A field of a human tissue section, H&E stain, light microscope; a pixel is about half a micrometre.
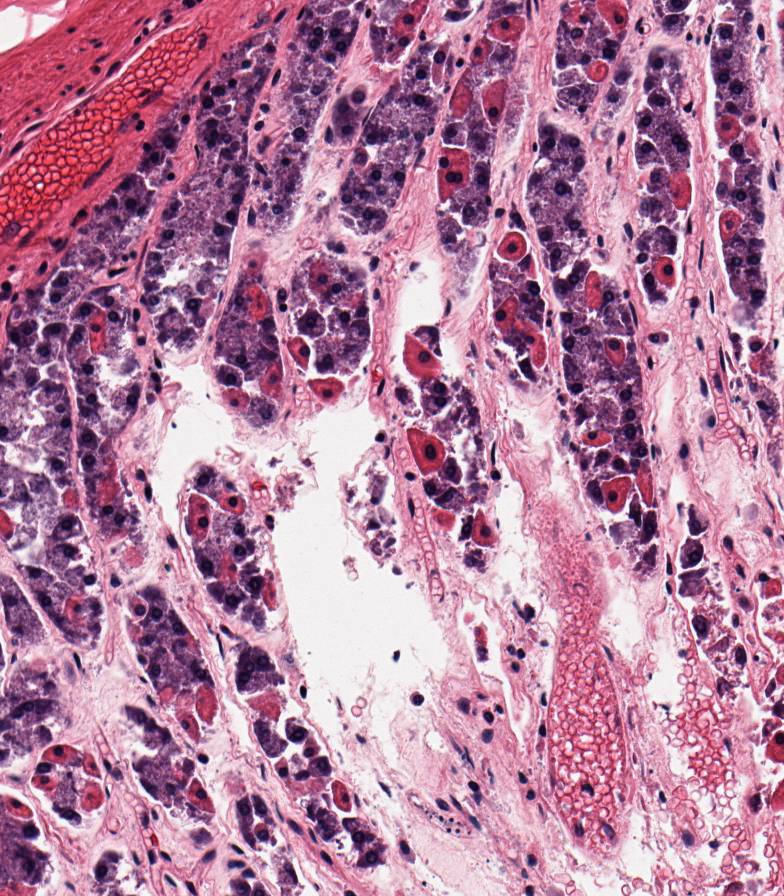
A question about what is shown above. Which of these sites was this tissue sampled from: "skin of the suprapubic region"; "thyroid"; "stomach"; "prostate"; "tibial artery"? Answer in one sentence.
The site this tissue was sampled from is the stomach.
